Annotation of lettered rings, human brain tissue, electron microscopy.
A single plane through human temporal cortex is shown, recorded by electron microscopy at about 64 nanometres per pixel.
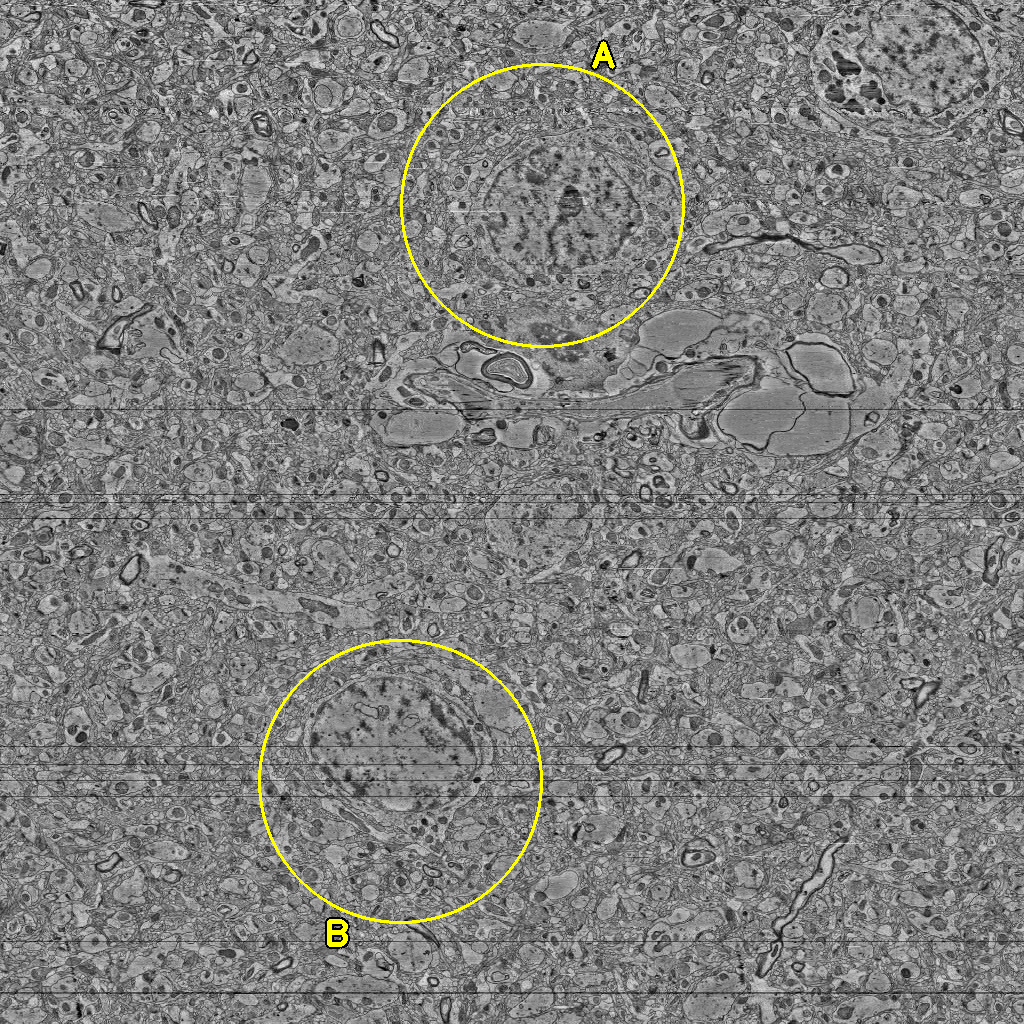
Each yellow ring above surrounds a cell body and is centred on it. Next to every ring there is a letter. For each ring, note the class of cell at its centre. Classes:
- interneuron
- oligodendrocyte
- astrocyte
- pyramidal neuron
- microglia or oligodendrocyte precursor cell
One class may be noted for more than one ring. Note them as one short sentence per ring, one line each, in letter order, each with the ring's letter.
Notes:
The class noted at ring A is an interneuron.
The class noted at ring B is an interneuron.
